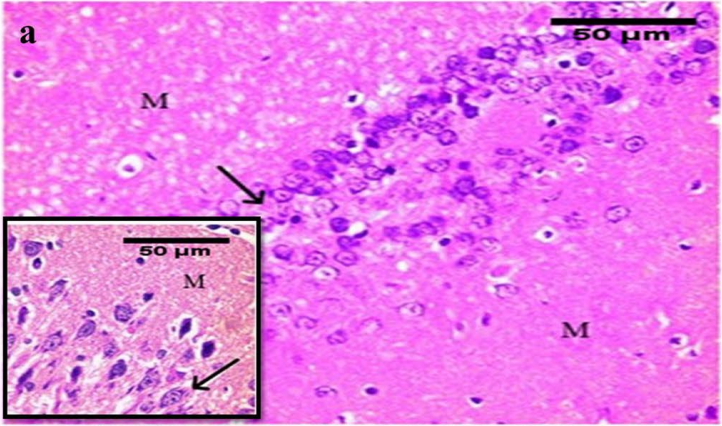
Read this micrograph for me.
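This is a band of small pyramidal neurons in the hippocampus, several cells thick, running diagonally between pale pink neuropil. The inset shows fewer layers of larger pyramidal cells with triangular bodies.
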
